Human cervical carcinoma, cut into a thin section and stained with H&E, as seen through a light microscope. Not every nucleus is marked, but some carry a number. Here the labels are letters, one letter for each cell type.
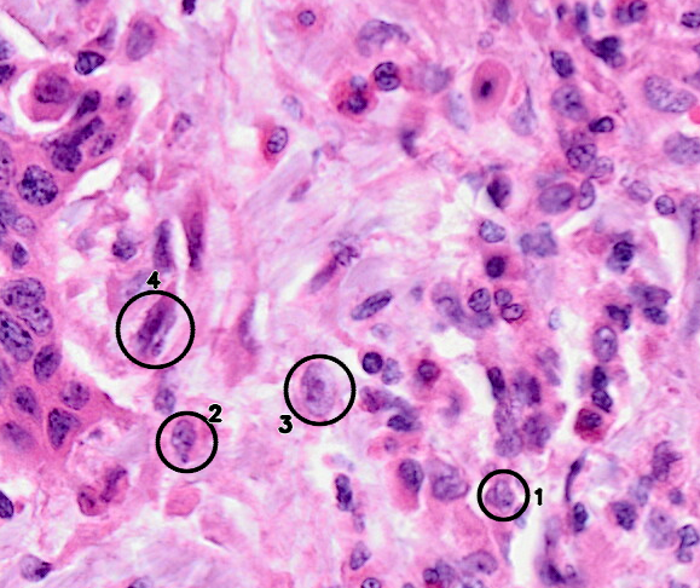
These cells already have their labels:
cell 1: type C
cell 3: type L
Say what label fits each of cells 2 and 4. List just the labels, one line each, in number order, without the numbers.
type C
type L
